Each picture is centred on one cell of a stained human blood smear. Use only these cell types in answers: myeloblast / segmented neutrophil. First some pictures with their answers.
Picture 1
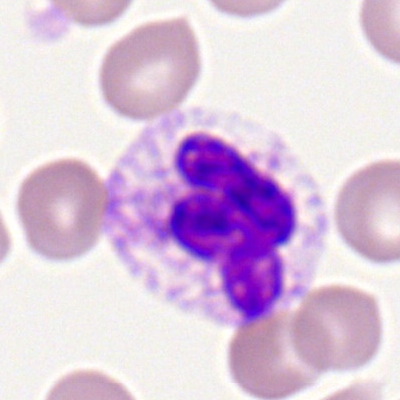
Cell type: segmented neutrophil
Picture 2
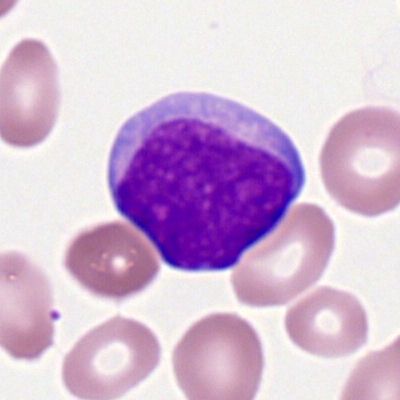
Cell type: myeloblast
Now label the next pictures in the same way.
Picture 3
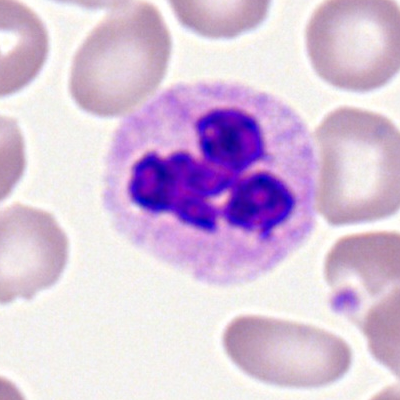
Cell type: segmented neutrophil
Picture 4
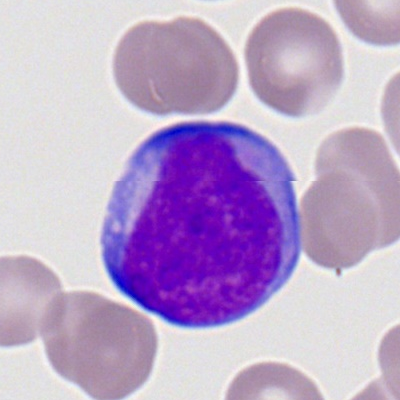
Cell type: myeloblast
